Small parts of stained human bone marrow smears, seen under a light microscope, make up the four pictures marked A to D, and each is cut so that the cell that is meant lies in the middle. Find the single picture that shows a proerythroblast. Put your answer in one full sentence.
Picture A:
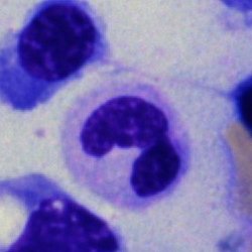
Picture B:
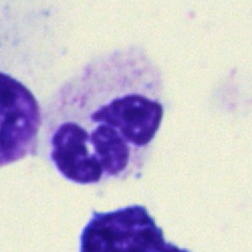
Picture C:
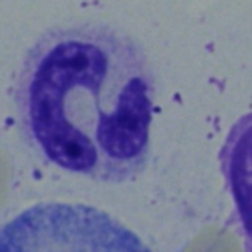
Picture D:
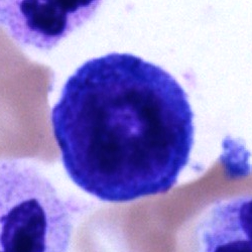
Picture D shows the proerythroblast.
